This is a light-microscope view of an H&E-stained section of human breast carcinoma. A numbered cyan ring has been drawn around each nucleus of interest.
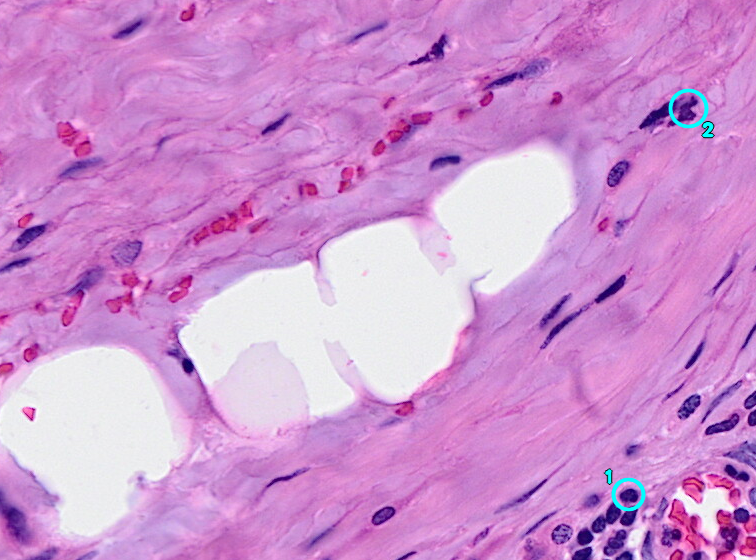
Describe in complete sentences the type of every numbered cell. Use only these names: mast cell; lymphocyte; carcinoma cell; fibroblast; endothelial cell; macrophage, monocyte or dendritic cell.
Cell 1 is a lymphocyte. Cell 2 is a fibroblast.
